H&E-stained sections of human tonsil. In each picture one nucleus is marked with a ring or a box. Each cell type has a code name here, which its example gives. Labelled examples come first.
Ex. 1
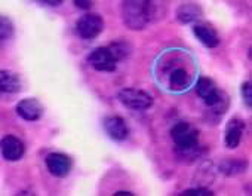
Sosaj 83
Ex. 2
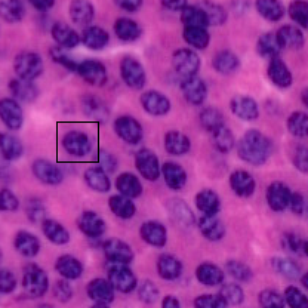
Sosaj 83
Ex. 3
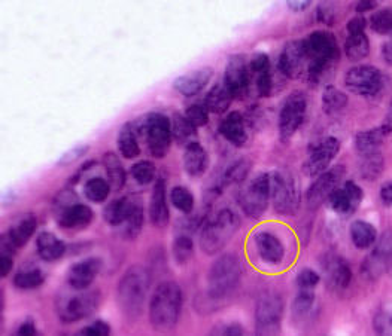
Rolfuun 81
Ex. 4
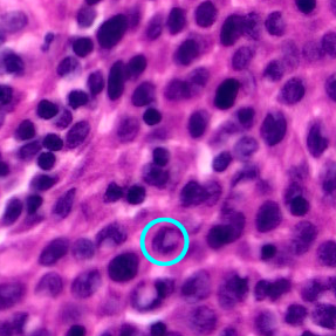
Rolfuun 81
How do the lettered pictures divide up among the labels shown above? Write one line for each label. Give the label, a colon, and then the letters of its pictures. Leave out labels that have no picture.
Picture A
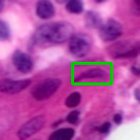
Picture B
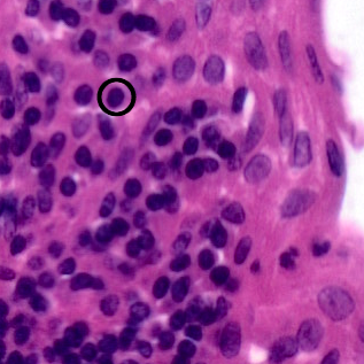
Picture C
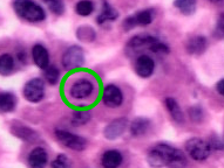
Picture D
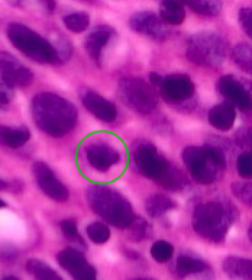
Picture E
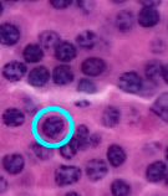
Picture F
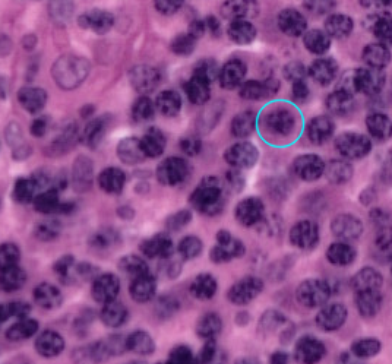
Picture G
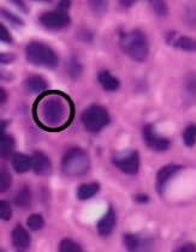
Sosaj 83: B, C, E, F
Rolfuun 81: A, D, G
